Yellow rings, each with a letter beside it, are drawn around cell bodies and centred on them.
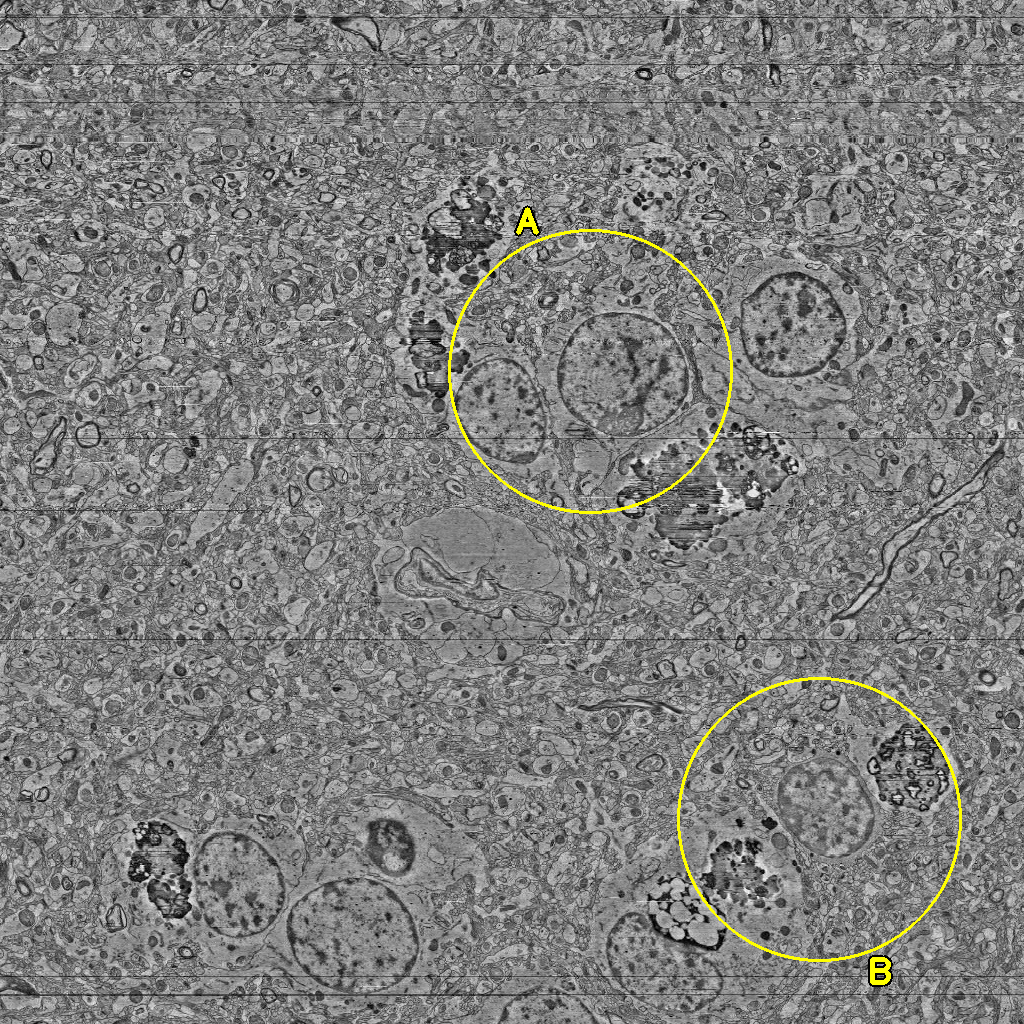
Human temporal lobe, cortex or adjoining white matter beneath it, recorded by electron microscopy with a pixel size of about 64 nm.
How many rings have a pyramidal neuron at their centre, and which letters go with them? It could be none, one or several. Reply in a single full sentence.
There are no rings here centred on a pyramidal neuron, so the count is zero.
